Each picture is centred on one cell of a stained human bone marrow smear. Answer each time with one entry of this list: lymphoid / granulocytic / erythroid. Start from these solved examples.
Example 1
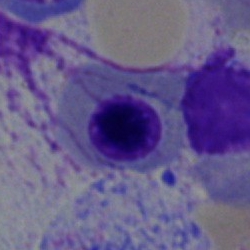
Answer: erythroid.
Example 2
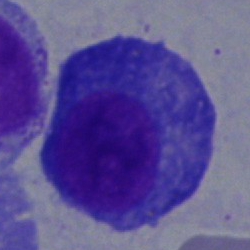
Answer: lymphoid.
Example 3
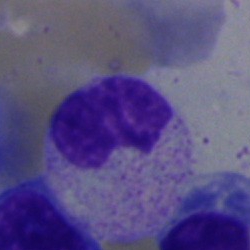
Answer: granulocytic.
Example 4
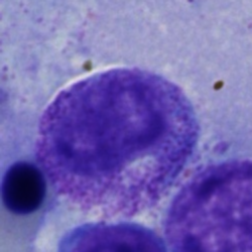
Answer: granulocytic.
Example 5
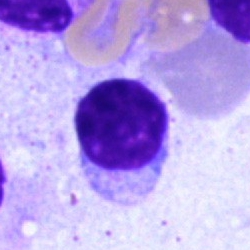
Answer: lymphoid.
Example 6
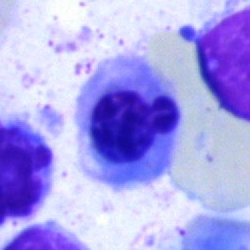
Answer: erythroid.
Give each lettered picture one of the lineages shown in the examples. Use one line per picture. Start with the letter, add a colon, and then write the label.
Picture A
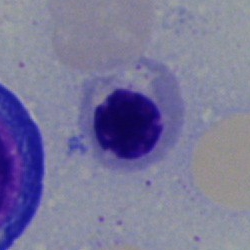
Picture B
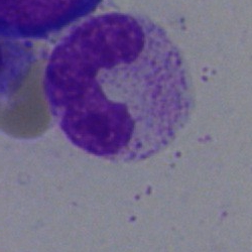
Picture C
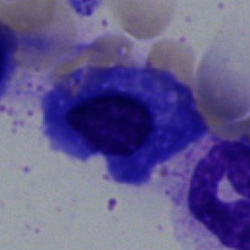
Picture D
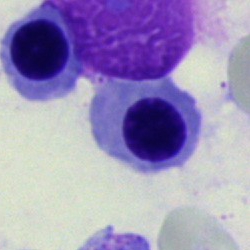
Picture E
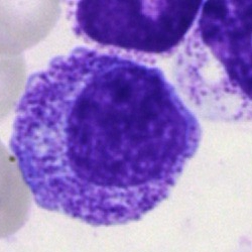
A: erythroid.
B: granulocytic.
C: lymphoid.
D: erythroid.
E: granulocytic.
